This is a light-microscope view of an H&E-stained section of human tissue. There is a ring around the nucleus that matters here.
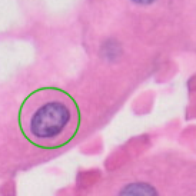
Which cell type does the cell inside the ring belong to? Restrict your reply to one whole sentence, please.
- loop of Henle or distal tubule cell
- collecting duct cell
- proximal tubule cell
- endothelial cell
Just put down that the cell inside the ring is a proximal tubule cell.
